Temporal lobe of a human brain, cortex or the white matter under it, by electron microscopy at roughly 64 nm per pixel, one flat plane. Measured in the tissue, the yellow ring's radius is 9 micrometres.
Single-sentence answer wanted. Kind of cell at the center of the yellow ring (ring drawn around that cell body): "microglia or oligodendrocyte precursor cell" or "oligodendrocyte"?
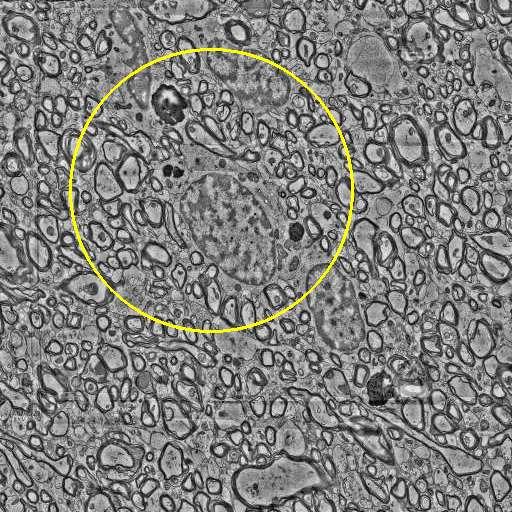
The cell centered in the ring is an oligodendrocyte.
